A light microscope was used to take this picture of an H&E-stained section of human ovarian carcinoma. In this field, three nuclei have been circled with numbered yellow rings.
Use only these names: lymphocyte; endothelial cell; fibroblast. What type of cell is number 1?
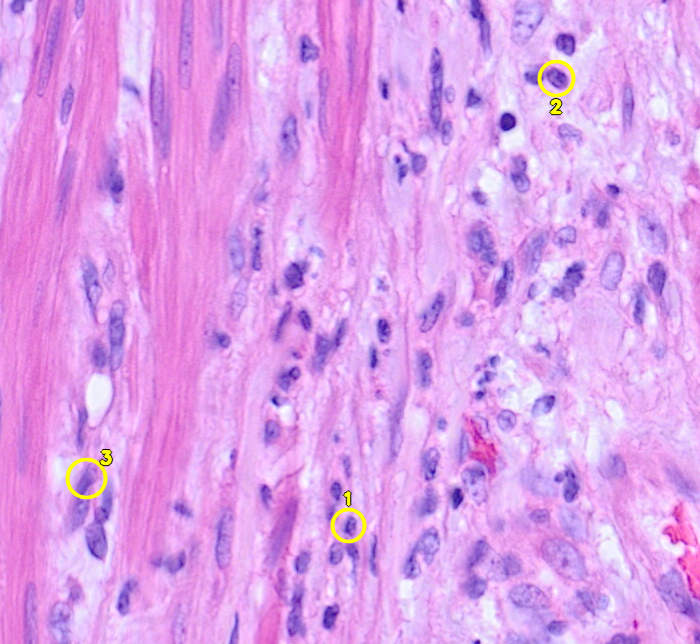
lymphocyte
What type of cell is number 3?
endothelial cell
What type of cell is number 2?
lymphocyte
